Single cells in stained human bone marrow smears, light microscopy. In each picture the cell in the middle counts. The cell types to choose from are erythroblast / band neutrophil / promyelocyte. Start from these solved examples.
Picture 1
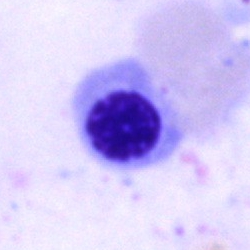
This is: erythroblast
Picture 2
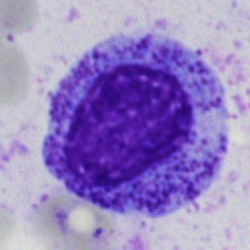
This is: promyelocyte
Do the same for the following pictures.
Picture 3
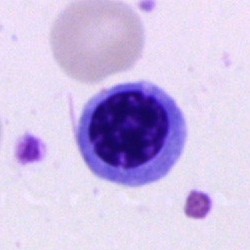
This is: erythroblast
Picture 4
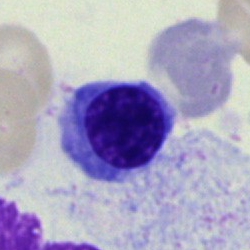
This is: erythroblast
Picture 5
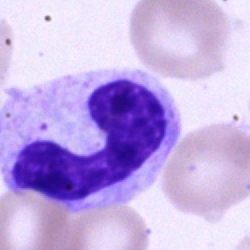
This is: band neutrophil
